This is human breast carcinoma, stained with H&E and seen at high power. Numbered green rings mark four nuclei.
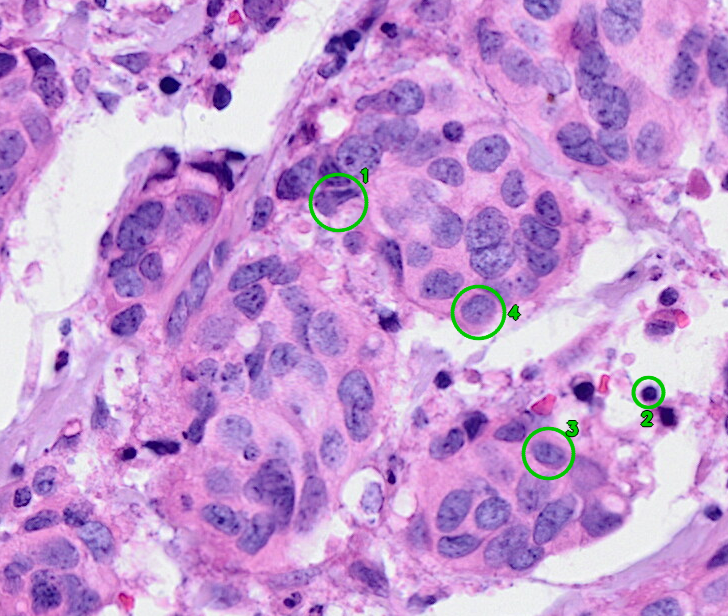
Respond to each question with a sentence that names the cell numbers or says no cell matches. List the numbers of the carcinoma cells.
The cells that bear the numbers 1, 3 and 4 are carcinoma cells.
